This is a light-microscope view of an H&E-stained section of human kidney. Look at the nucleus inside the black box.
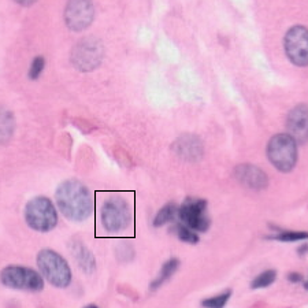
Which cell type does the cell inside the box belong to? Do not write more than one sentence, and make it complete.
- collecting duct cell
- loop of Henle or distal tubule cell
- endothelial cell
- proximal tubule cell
In cell-type terms, the cell inside the box is a collecting duct cell.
